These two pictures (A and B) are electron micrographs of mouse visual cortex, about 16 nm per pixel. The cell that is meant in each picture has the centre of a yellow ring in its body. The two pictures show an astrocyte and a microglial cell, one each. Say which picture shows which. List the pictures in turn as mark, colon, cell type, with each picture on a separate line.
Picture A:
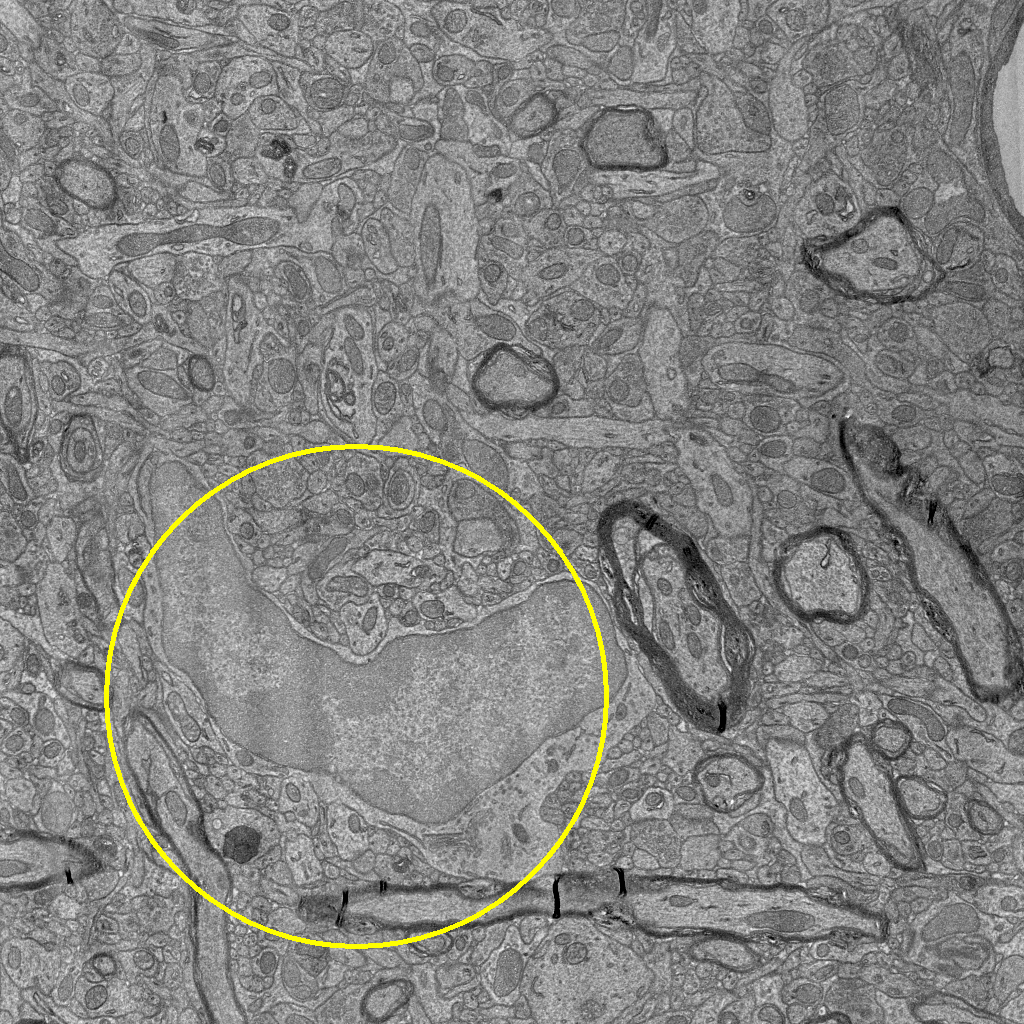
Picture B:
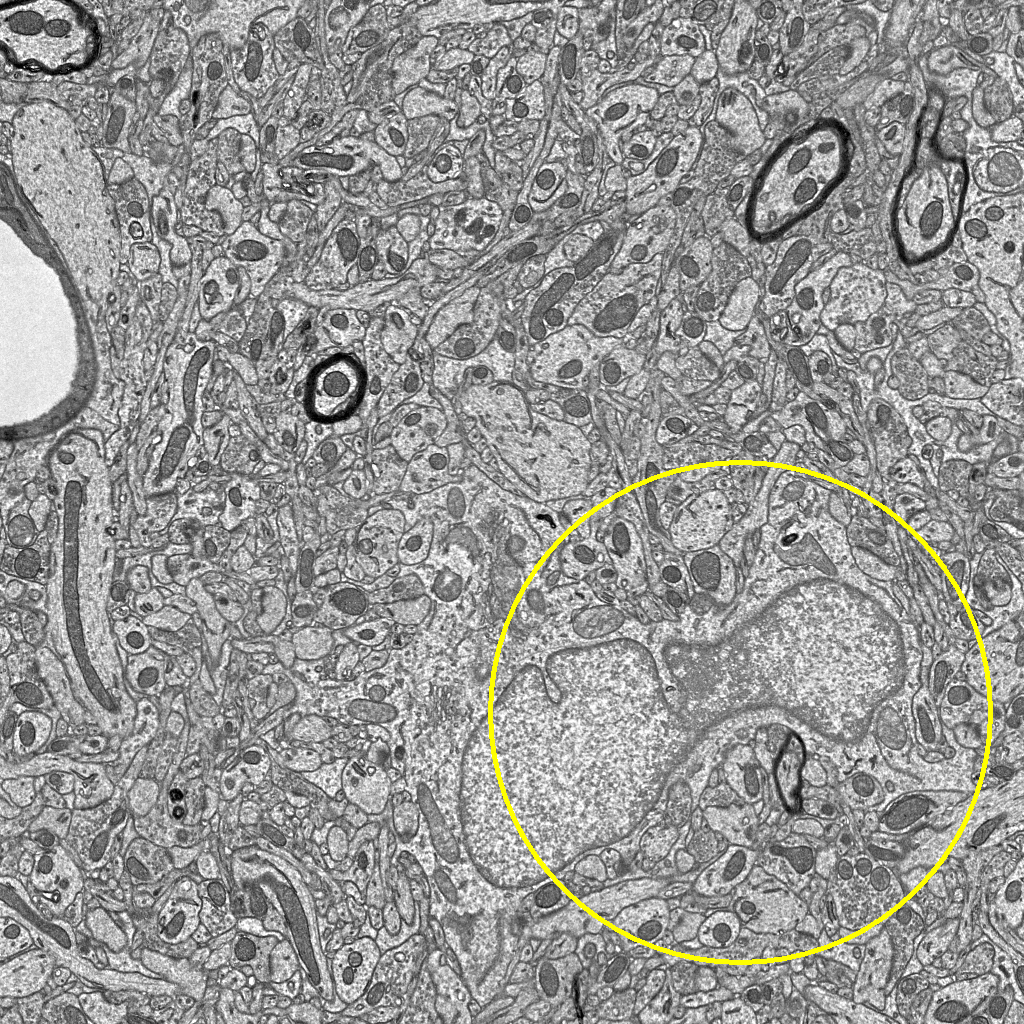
A: microglial cell
B: astrocyte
